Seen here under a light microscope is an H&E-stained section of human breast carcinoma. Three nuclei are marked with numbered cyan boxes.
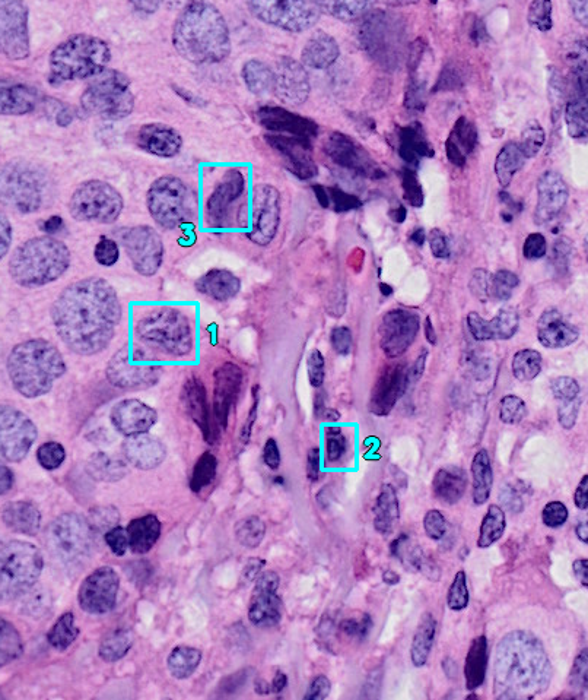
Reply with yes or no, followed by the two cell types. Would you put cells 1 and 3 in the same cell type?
Yes, both of cells 1 and 3 are carcinoma cells.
